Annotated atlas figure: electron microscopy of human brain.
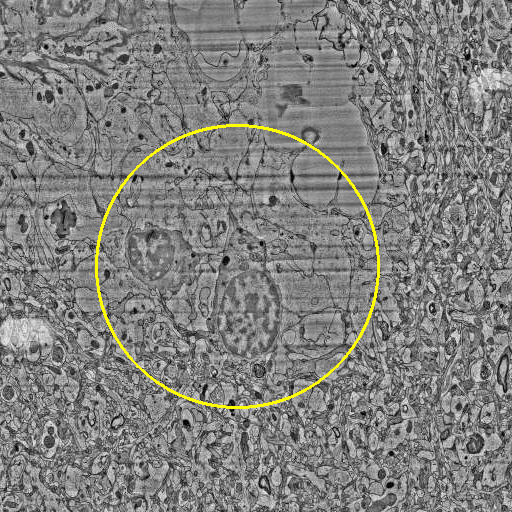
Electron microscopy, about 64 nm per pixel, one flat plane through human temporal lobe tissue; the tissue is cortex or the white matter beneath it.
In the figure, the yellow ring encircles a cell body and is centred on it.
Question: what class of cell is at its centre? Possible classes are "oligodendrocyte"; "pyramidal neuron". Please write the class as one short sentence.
The yellow ring is drawn around an oligodendrocyte.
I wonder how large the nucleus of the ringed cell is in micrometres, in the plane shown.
The ringed cell's nucleus measures approximately 6 by 4 micrometres in this plane.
